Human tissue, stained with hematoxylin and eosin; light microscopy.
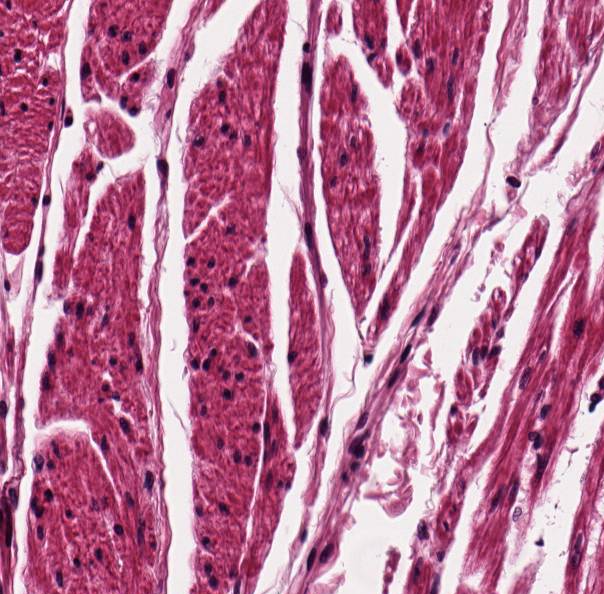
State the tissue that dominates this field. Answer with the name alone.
smooth muscle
